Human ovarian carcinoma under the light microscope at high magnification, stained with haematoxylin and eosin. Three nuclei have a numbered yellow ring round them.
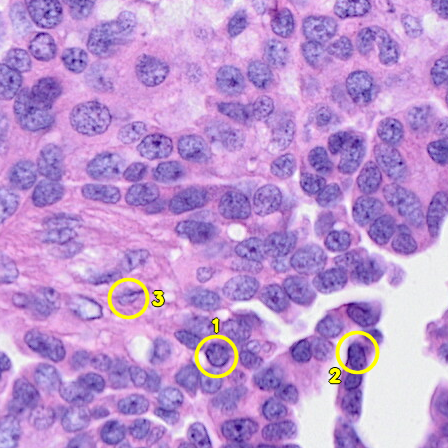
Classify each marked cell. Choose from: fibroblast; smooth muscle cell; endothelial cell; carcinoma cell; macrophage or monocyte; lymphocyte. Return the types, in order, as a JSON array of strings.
["carcinoma cell", "carcinoma cell", "fibroblast"]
